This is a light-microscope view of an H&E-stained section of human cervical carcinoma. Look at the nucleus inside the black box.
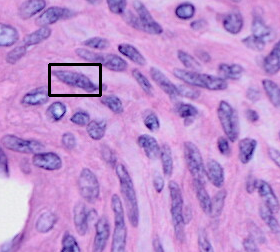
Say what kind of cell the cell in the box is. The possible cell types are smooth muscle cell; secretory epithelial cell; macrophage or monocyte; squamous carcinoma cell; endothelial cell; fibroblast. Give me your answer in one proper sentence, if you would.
In this field of tissue, the cell in the box is a smooth muscle cell.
